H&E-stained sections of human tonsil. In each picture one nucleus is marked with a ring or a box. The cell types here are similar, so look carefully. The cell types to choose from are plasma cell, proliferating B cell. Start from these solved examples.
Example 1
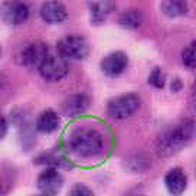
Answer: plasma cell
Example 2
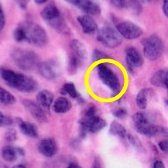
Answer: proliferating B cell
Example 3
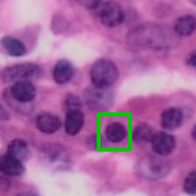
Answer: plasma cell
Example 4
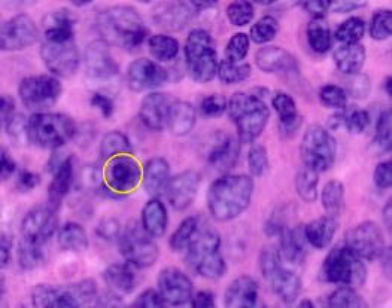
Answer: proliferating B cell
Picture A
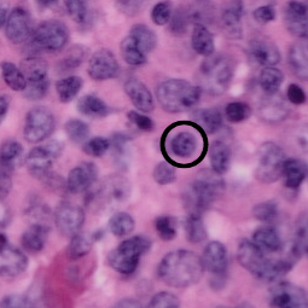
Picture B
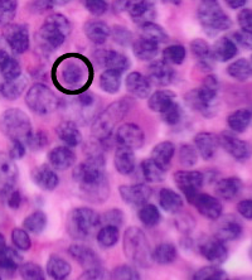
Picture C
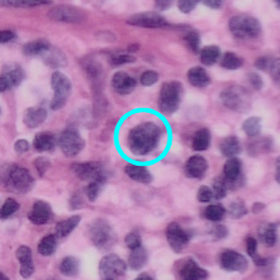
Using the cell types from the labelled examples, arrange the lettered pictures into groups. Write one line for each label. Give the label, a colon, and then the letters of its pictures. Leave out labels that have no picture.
proliferating B cell: A, B, C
